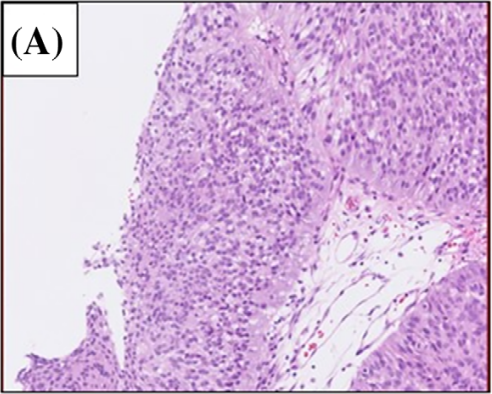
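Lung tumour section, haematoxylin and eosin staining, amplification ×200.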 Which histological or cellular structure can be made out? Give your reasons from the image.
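Thick layers of crowded cells line a thin strand of loose stroma. The cell layers form fronds with a free surface facing an empty space.
Papillary pattern.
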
